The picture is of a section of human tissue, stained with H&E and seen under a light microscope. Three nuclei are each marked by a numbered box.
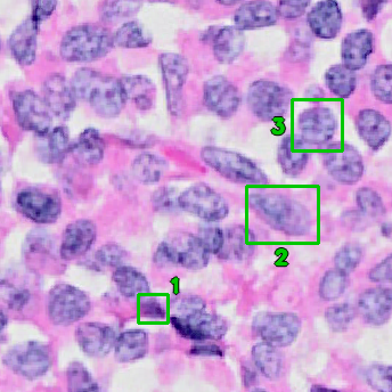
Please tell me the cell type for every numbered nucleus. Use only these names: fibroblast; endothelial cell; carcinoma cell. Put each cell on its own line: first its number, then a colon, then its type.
1: carcinoma cell
2: endothelial cell
3: carcinoma cell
